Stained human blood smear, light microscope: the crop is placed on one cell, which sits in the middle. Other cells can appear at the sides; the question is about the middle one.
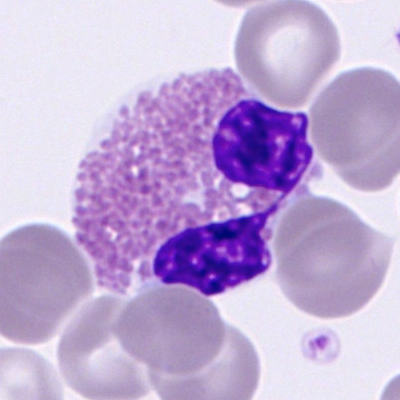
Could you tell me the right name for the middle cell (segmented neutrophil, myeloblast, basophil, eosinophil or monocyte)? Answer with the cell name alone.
eosinophil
